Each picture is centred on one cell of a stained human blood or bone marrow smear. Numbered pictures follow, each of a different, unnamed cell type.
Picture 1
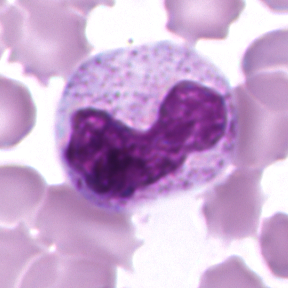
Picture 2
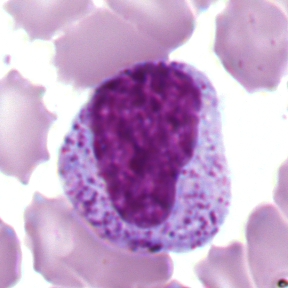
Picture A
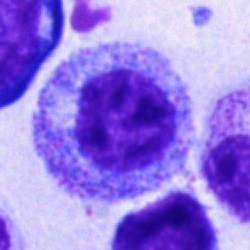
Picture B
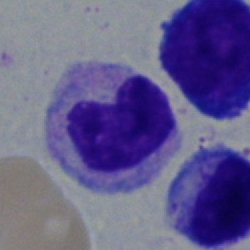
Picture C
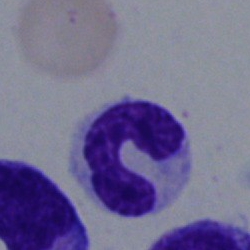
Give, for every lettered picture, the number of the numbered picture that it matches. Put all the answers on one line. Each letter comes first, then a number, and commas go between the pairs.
A 2, B 1, C 1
